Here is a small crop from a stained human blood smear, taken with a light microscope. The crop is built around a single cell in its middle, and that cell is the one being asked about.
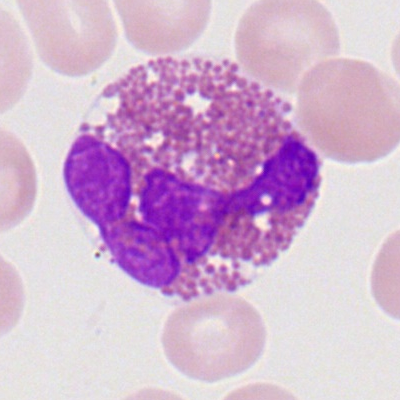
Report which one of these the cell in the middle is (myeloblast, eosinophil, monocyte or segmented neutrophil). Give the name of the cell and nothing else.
eosinophil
